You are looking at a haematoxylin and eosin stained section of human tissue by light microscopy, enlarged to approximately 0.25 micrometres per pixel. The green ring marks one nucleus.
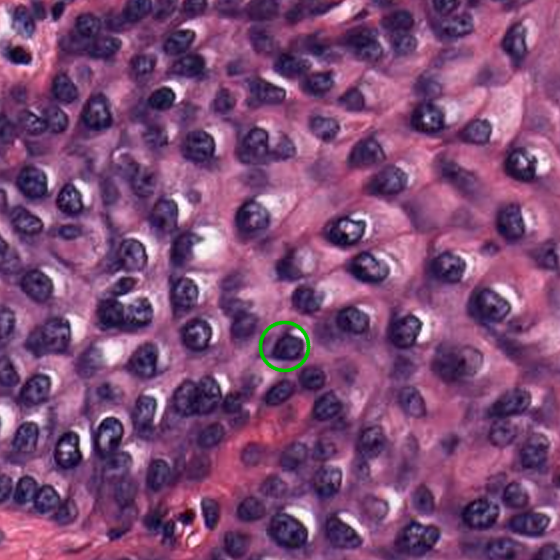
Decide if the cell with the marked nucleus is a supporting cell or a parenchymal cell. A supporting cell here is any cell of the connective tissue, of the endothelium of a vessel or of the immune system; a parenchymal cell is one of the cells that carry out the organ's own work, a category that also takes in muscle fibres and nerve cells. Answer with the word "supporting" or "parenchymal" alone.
parenchymal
